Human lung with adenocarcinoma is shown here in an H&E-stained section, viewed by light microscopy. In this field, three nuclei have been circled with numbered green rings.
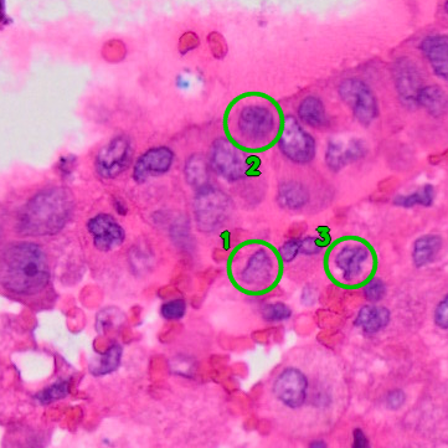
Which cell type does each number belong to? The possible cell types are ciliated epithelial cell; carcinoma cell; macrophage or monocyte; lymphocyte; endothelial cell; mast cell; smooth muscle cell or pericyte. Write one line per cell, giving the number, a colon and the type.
1: macrophage or monocyte
2: carcinoma cell
3: macrophage or monocyte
